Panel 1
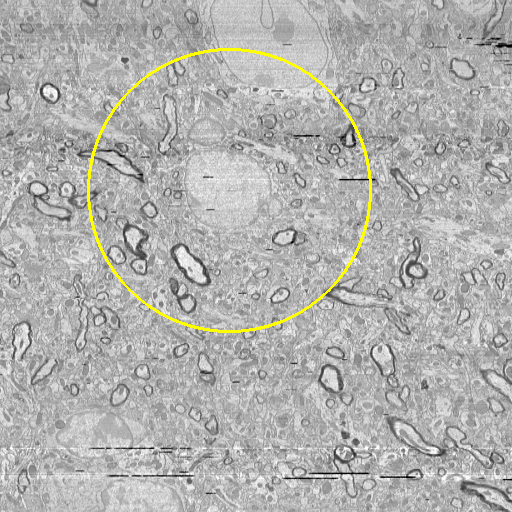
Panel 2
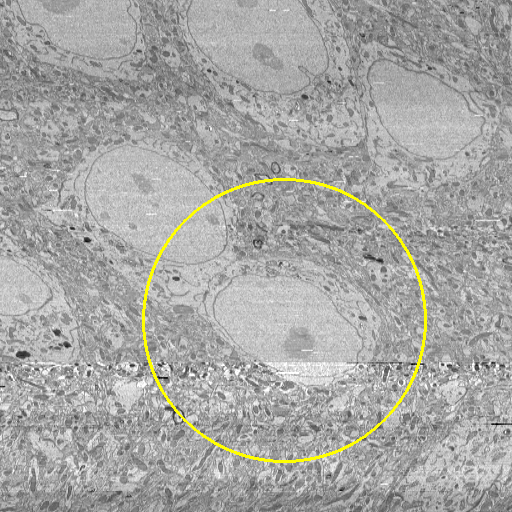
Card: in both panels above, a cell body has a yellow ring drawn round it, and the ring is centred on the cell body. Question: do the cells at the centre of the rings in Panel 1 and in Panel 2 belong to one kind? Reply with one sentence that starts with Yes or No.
No, the cells centred in the rings of Panel 1 and Panel 2 are two kinds of cell.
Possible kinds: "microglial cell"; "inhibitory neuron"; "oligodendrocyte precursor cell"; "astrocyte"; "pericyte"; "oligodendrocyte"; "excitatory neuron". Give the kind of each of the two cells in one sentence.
The cell in the second picture is an excitatory neuron, and that in the first is an astrocyte.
